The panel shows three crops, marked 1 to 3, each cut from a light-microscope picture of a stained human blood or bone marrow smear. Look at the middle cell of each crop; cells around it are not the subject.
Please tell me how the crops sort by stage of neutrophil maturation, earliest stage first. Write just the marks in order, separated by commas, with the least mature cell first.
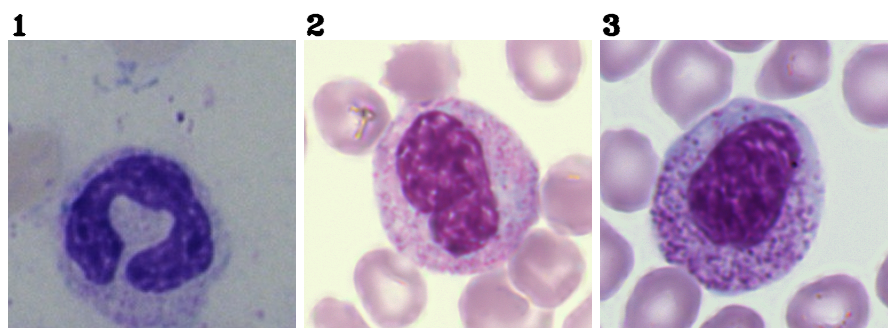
3, 2, 1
